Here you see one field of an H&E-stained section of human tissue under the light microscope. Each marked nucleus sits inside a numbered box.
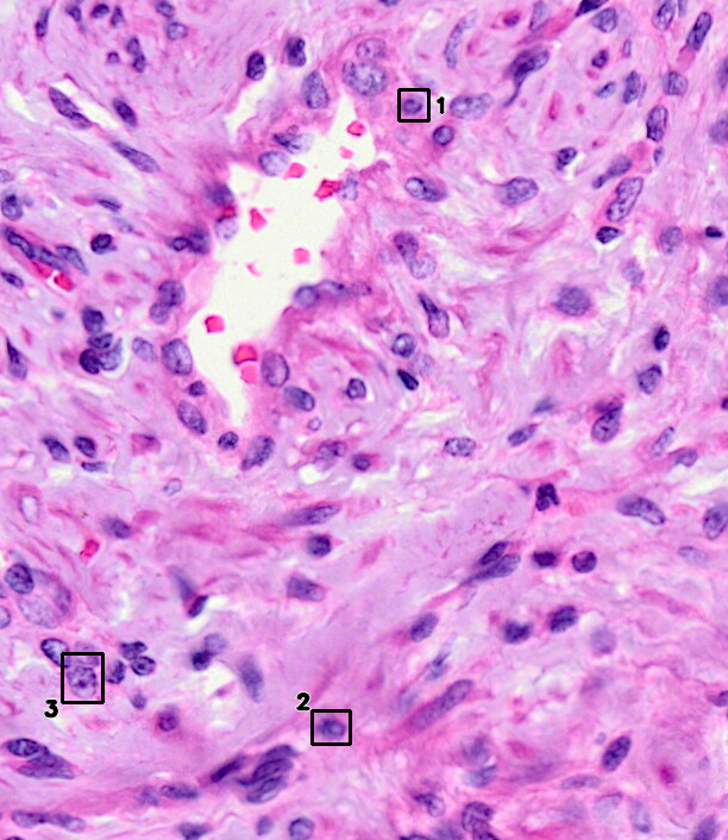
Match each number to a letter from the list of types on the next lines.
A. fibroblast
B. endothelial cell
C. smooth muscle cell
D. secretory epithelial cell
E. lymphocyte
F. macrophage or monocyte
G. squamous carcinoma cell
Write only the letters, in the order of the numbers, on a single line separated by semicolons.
C; B; B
